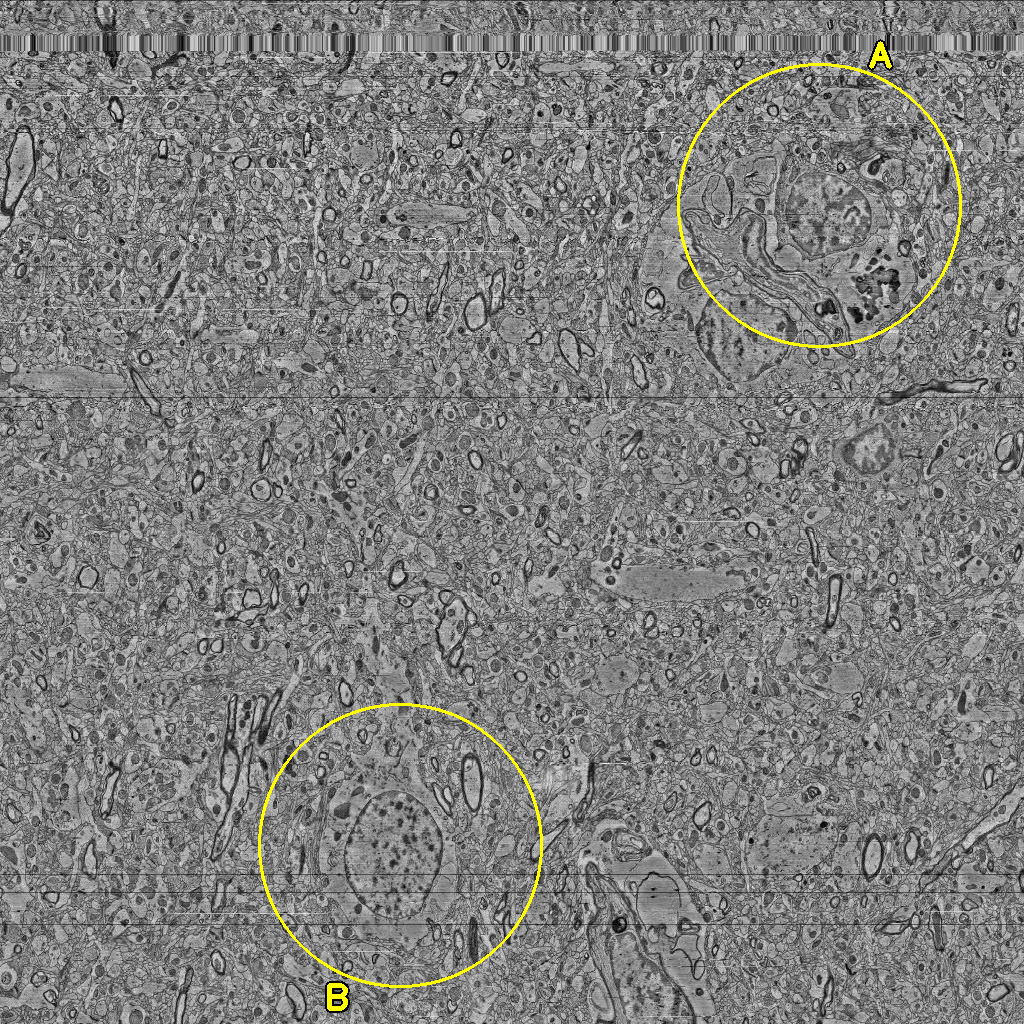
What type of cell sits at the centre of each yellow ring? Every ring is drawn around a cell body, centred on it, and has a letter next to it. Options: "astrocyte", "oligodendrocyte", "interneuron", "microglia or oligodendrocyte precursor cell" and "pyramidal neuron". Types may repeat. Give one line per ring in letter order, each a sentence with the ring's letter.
Ring A has an oligodendrocyte at its centre.
Ring B has an astrocyte at its centre.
